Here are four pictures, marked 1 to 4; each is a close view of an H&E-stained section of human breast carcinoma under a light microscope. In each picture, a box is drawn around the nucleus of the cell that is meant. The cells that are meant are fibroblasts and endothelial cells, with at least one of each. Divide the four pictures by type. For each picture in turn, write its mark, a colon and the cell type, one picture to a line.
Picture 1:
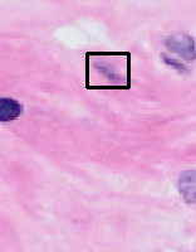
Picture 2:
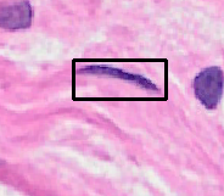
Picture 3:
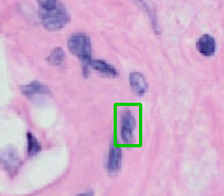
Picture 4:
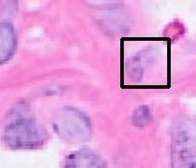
1: fibroblast
2: fibroblast
3: endothelial cell
4: endothelial cell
